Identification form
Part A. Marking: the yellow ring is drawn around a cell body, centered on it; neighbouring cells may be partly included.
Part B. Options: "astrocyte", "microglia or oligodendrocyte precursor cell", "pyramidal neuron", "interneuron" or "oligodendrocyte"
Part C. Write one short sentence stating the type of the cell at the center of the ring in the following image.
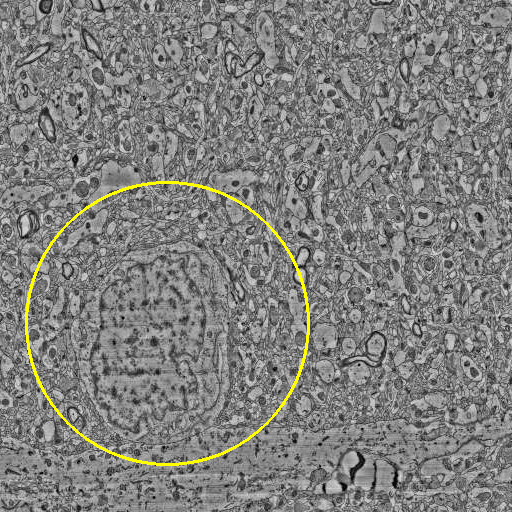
The center of the ring holds an interneuron.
